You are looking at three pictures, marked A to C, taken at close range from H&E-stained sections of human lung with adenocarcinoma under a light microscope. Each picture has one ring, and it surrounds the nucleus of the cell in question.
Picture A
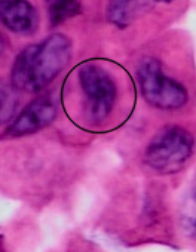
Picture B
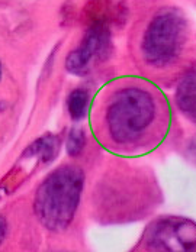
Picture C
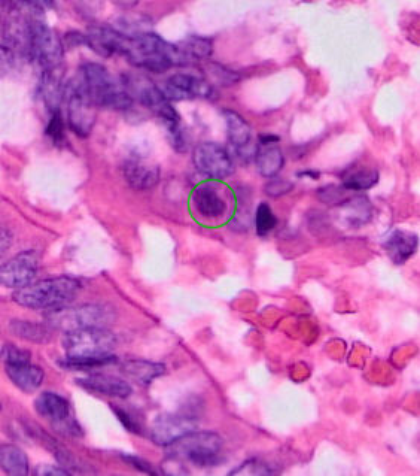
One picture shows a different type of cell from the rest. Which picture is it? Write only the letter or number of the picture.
C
